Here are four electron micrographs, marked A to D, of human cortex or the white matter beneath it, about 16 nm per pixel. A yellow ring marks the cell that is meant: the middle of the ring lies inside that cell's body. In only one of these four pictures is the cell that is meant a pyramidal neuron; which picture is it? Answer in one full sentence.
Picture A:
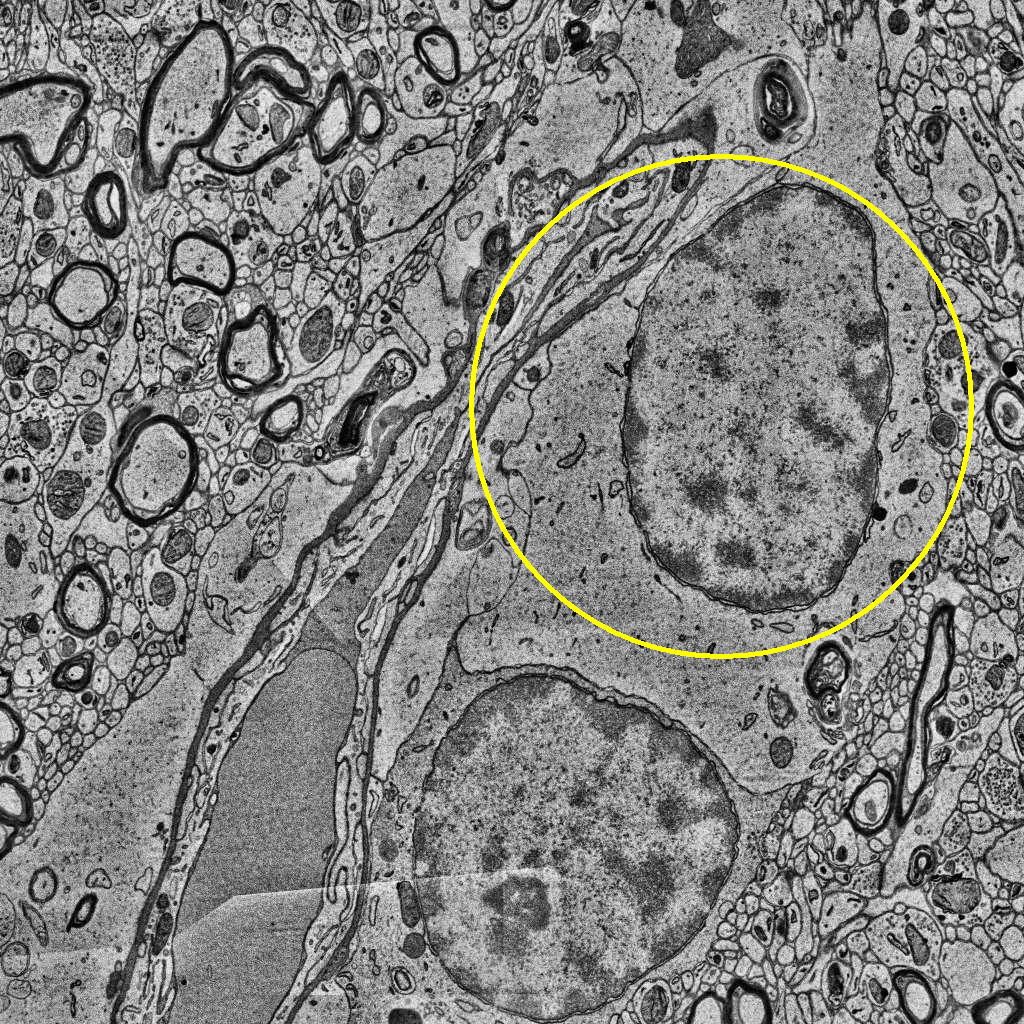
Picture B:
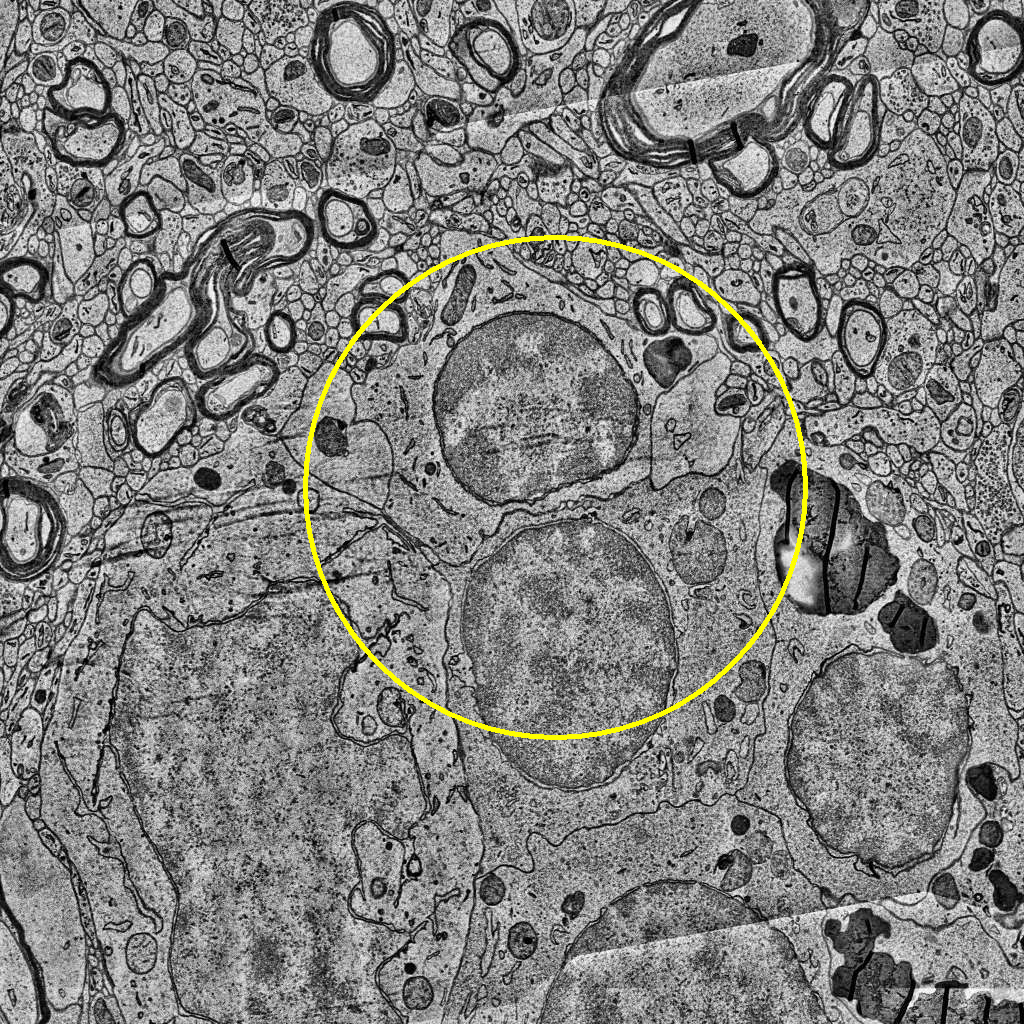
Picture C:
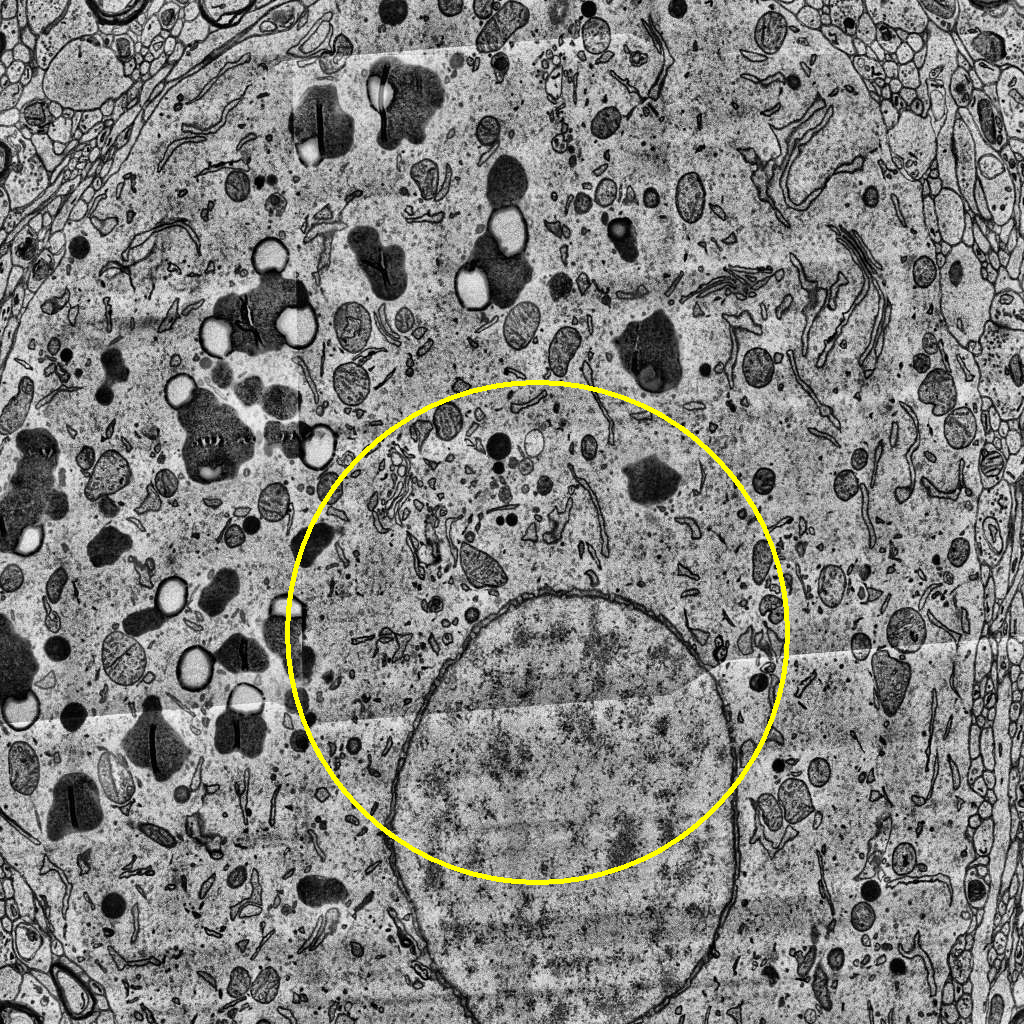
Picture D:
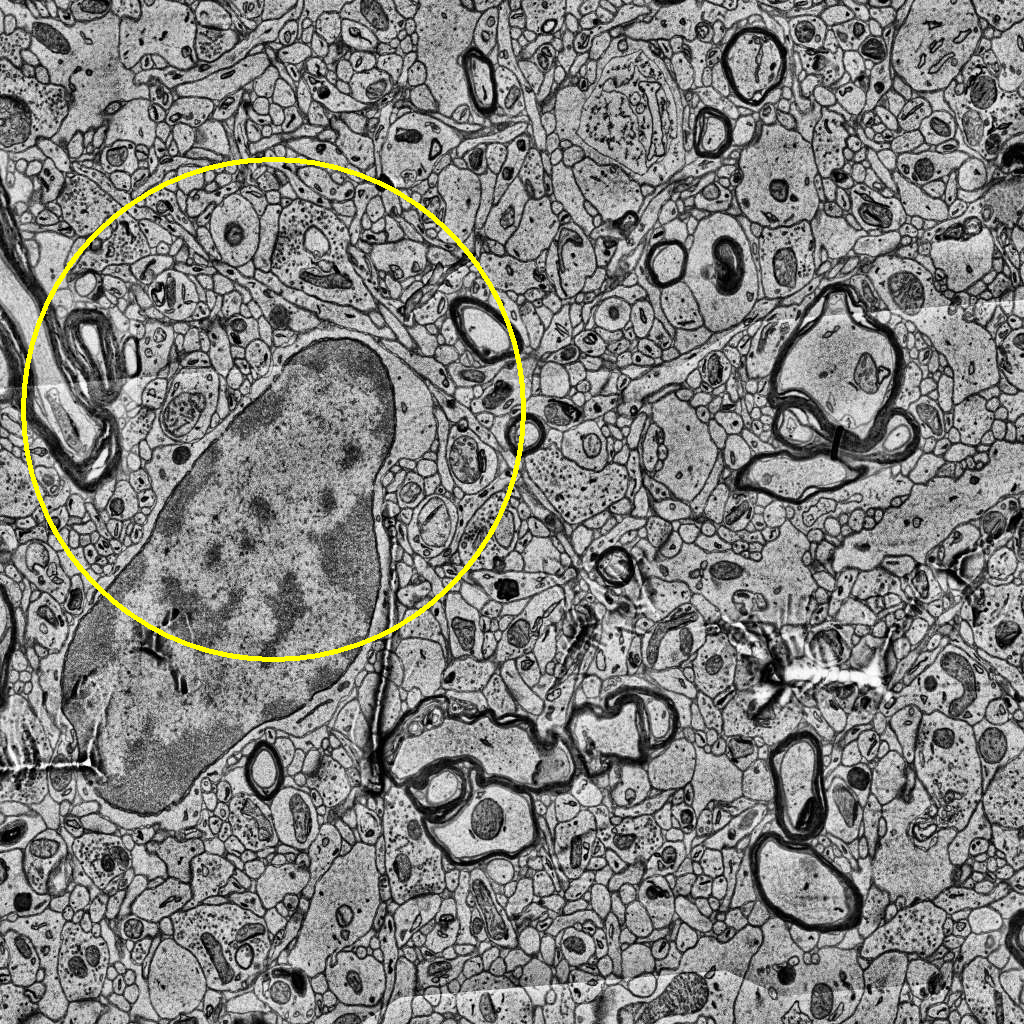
Picture C shows the pyramidal neuron.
